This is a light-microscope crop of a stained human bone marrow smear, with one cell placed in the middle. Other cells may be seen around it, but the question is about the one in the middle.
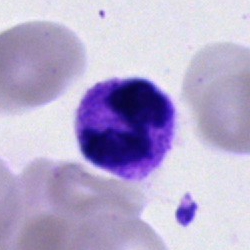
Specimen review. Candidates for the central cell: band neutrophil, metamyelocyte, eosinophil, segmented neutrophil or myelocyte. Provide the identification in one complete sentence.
The cell occupying the middle of the crop is a segmented neutrophil.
